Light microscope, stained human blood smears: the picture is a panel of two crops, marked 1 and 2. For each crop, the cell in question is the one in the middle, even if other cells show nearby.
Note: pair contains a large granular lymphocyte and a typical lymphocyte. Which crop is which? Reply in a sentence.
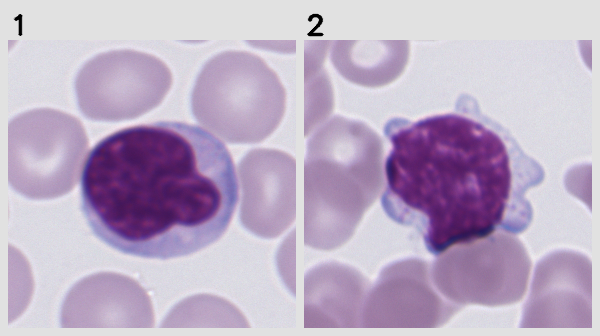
In this set, crop 1 shows a typical lymphocyte and crop 2 shows a large granular lymphocyte.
